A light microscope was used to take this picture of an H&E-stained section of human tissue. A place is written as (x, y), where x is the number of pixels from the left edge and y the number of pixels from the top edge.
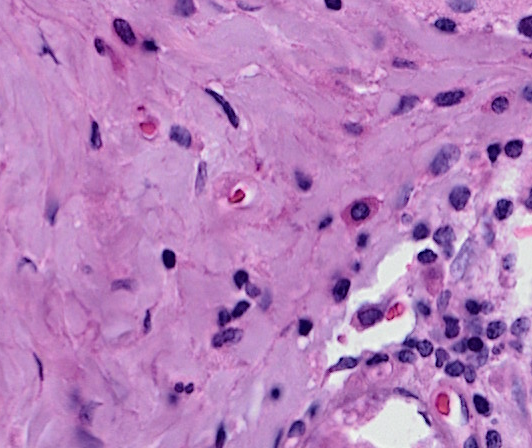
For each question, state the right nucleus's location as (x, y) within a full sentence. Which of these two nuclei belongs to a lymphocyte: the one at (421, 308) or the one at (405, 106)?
Among the two, the nucleus at (421, 308) is the nucleus of a lymphocyte.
